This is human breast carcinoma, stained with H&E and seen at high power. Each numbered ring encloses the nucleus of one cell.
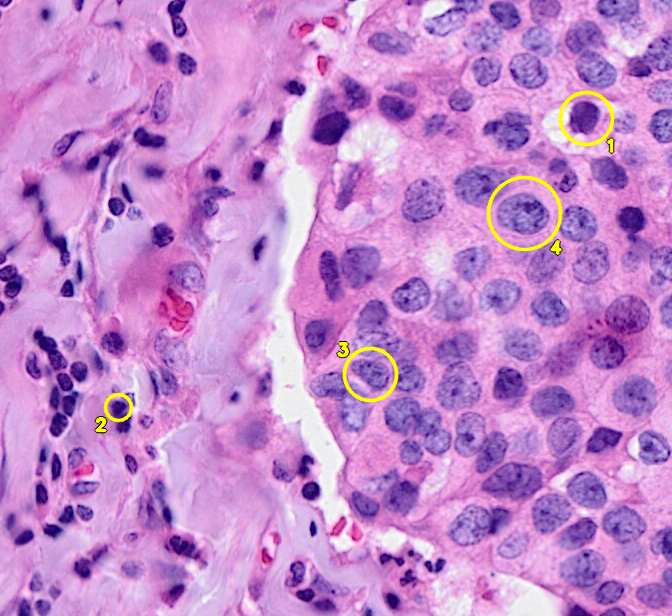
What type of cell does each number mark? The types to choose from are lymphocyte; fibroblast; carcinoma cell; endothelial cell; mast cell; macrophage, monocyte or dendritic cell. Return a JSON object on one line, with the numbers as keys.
{"1": "carcinoma cell", "2": "lymphocyte", "3": "carcinoma cell", "4": "carcinoma cell"}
